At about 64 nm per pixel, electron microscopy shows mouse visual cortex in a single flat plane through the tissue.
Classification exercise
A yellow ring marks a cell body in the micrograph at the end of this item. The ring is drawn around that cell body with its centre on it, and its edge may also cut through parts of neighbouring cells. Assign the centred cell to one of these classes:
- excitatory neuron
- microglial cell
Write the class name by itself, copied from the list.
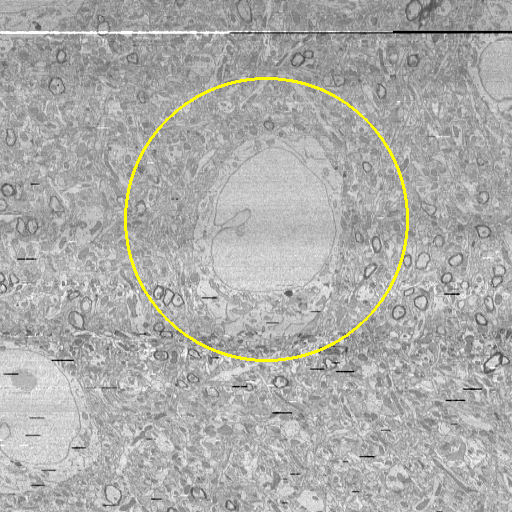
excitatory neuron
